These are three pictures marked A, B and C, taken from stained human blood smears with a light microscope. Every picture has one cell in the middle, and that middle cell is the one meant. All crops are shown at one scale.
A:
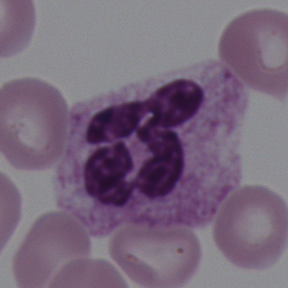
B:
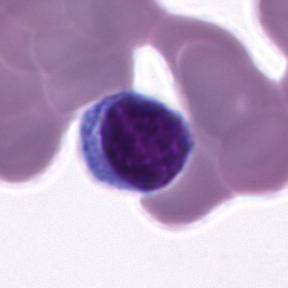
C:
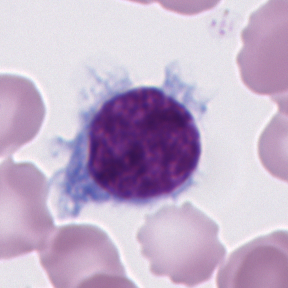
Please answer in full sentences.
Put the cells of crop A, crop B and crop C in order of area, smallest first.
Going up, they run B, C, A.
